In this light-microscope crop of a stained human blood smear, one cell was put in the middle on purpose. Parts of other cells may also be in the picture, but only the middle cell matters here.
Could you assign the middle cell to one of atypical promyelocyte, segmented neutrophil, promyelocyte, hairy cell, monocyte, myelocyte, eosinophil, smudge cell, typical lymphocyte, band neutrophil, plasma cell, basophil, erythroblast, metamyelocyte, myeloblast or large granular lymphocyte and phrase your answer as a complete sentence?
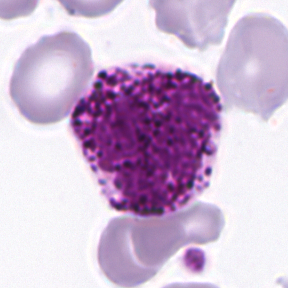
The cell centered in this field of view is a basophil.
